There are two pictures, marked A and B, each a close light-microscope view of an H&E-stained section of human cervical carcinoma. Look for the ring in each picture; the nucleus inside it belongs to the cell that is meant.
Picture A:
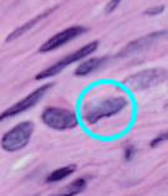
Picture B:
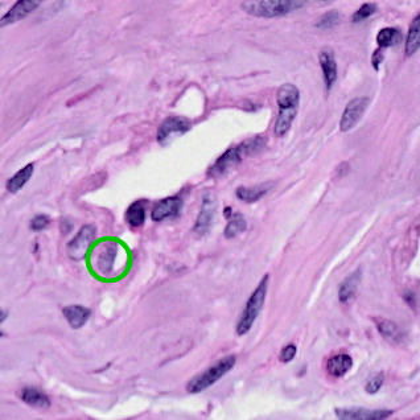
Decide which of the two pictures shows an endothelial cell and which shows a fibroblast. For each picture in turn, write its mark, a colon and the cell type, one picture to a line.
A: fibroblast
B: endothelial cell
